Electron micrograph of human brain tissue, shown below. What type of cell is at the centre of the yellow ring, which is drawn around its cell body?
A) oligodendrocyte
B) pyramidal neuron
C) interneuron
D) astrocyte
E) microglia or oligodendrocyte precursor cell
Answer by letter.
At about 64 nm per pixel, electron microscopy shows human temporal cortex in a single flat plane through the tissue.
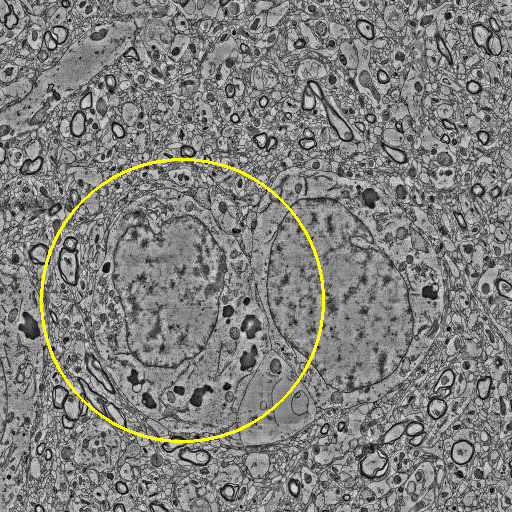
C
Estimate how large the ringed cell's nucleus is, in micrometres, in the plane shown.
The ringed cell's nucleus measures approximately 10 by 8 micrometres in this plane.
